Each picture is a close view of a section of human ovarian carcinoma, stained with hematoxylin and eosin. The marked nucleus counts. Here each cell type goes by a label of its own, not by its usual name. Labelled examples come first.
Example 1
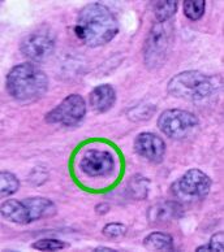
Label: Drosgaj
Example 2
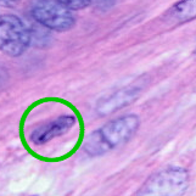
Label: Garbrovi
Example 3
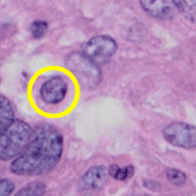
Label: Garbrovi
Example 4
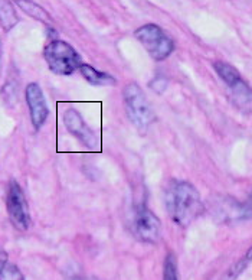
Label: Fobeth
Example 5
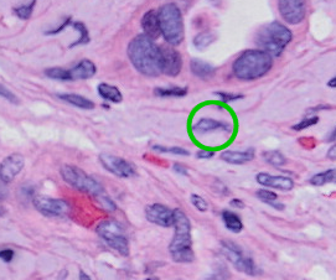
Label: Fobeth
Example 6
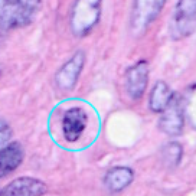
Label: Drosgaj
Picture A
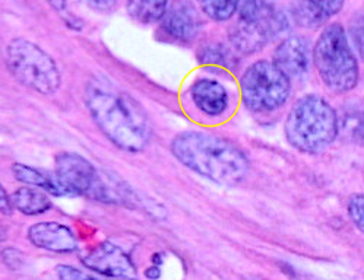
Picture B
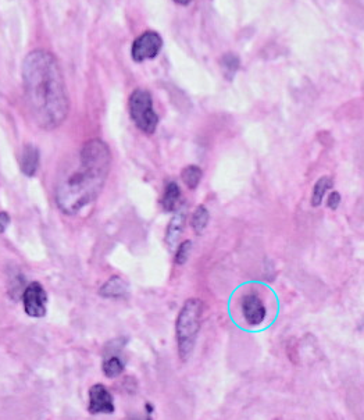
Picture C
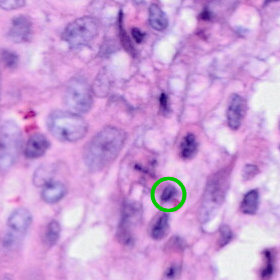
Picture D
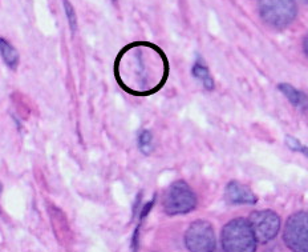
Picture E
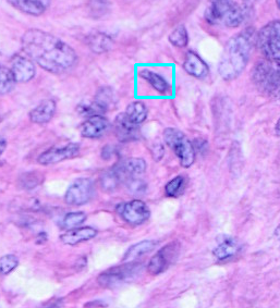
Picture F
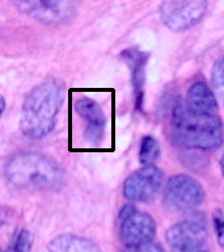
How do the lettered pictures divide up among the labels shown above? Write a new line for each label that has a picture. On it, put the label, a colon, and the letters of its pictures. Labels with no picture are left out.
Drosgaj: B, C
Garbrovi: A, F
Fobeth: D, E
